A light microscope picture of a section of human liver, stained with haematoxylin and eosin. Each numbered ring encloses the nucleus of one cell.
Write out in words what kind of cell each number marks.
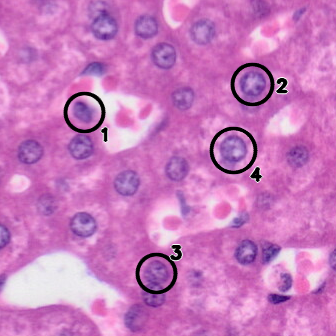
Cell 1 is a Kupffer cell. Cells 2, 3 and 4 are hepatocytes.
